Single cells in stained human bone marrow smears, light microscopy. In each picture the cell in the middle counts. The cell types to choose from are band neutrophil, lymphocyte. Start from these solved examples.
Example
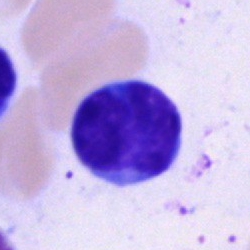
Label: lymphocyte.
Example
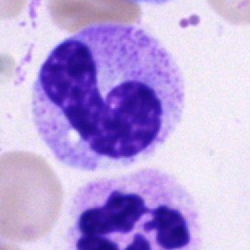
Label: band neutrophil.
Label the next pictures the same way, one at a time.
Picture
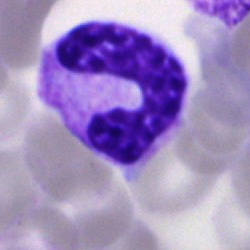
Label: band neutrophil.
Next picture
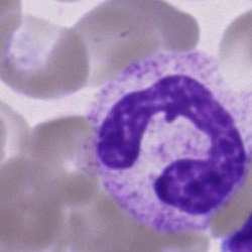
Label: band neutrophil.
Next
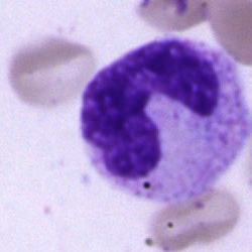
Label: band neutrophil.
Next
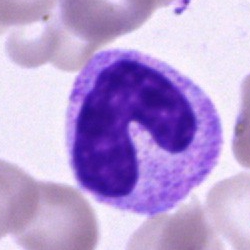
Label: band neutrophil.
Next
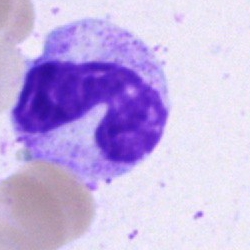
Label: band neutrophil.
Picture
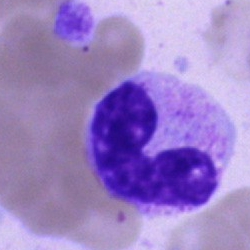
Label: band neutrophil.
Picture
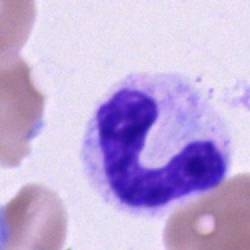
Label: band neutrophil.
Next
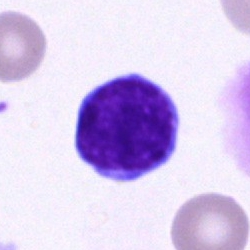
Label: lymphocyte.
